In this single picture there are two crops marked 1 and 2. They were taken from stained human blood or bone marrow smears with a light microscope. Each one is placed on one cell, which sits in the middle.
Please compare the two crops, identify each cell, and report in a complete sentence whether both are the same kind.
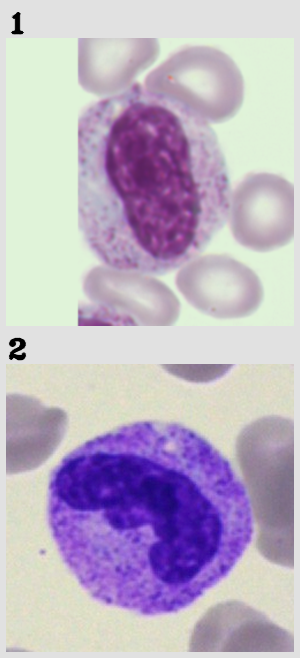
No, crop 1 has a metamyelocyte in the middle, and crop 2 has a band neutrophil.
